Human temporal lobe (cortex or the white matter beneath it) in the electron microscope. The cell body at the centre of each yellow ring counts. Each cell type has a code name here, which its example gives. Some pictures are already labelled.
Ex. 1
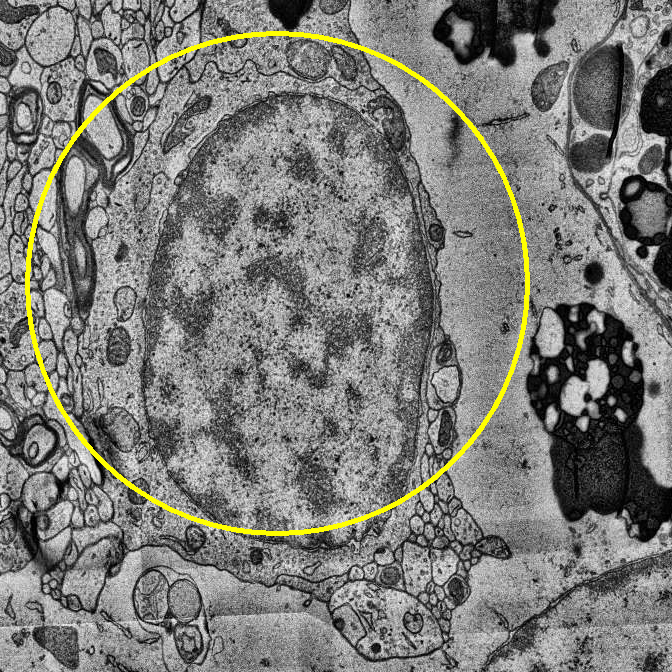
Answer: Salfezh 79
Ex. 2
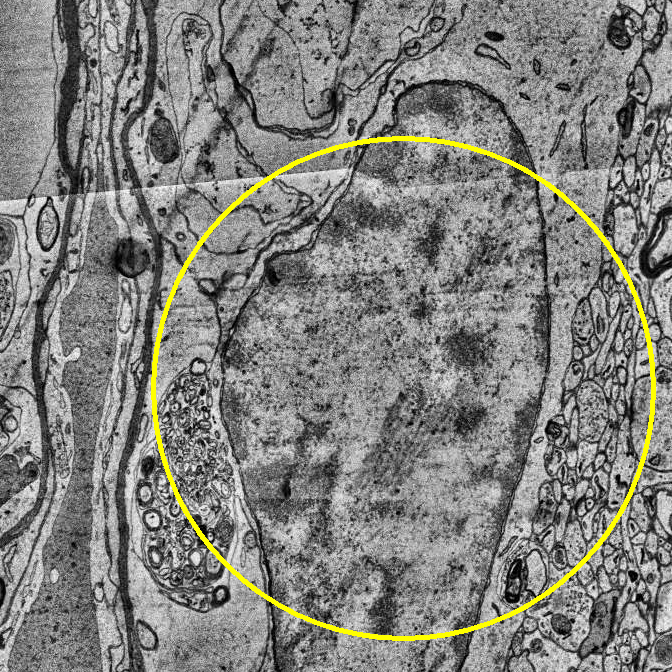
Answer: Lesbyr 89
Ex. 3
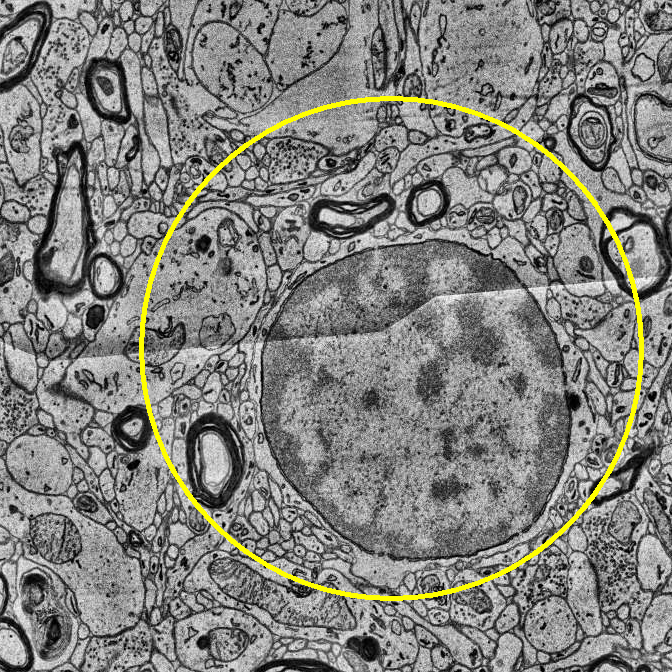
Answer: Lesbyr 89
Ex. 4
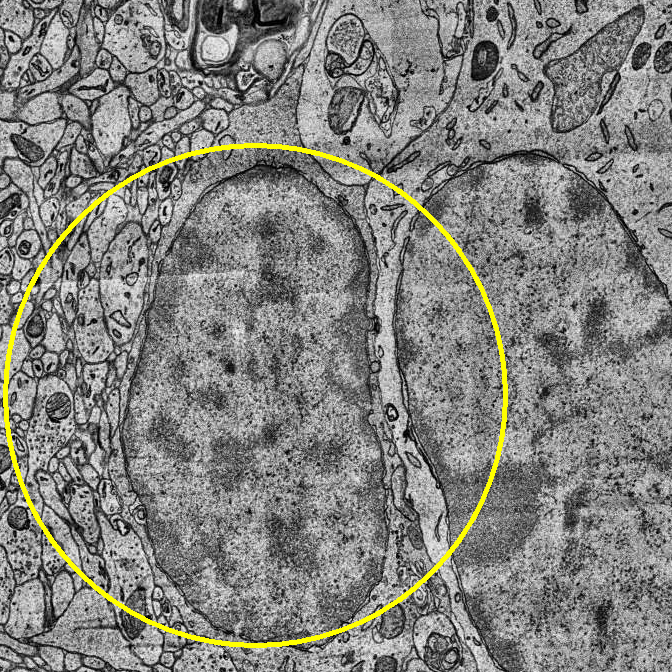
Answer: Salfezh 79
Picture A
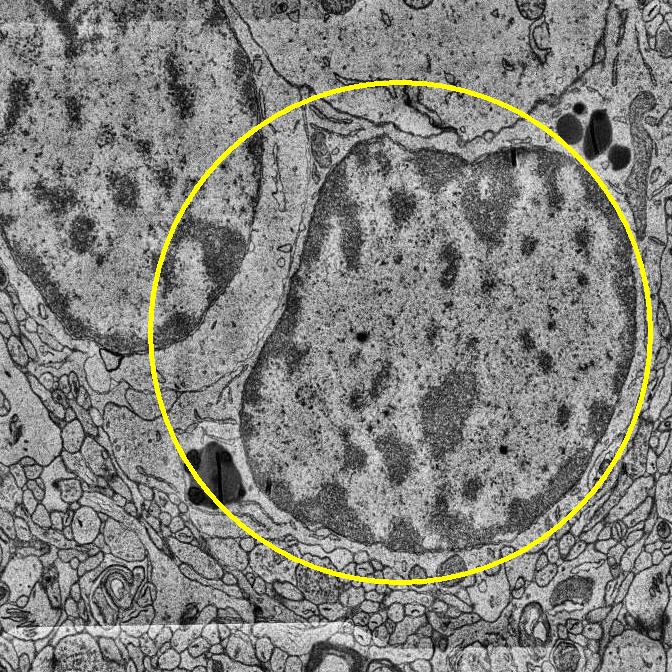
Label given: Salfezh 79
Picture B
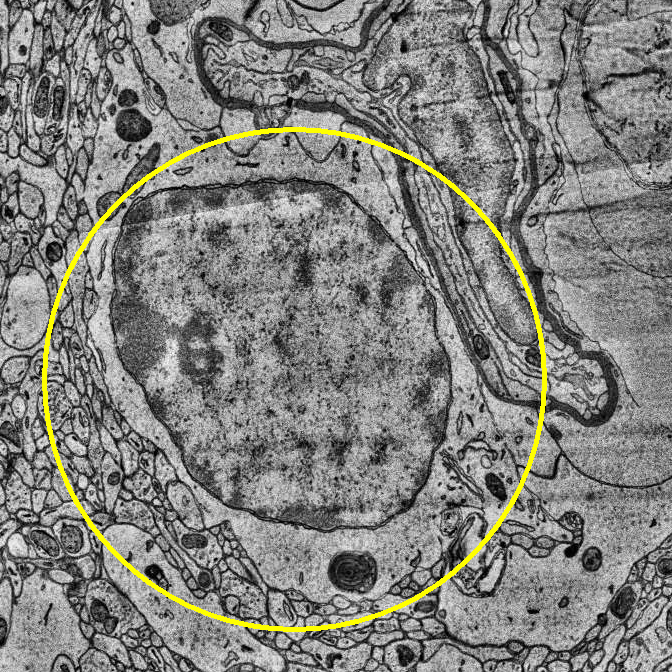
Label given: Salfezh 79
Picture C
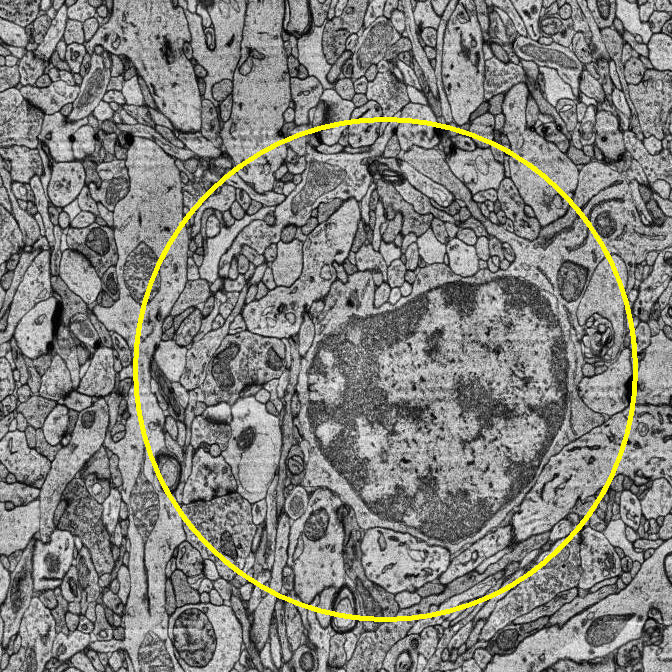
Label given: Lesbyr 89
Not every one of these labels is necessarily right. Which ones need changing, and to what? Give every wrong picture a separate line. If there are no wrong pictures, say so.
A should be Lesbyr 89, not Salfezh 79
B should be Lesbyr 89, not Salfezh 79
